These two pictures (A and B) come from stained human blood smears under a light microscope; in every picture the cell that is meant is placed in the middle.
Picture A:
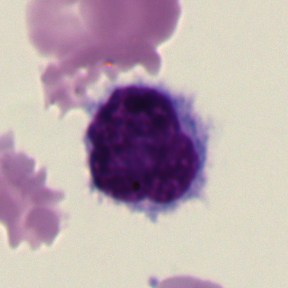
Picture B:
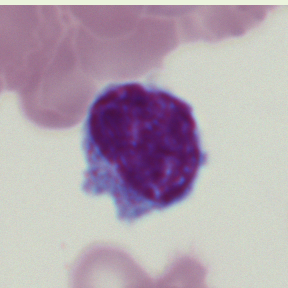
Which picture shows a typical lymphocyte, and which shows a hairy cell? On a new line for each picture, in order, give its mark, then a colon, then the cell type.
A: hairy cell
B: typical lymphocyte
